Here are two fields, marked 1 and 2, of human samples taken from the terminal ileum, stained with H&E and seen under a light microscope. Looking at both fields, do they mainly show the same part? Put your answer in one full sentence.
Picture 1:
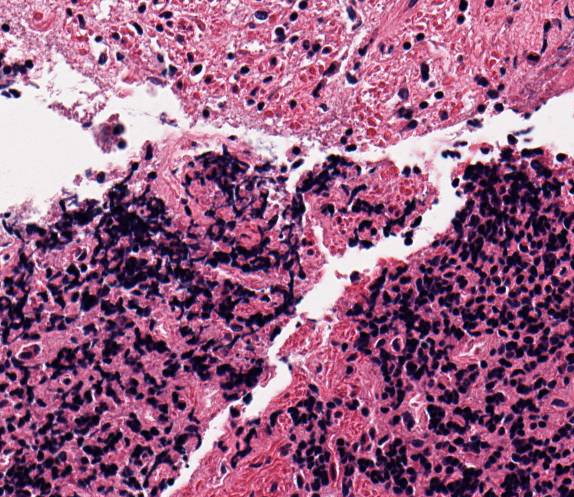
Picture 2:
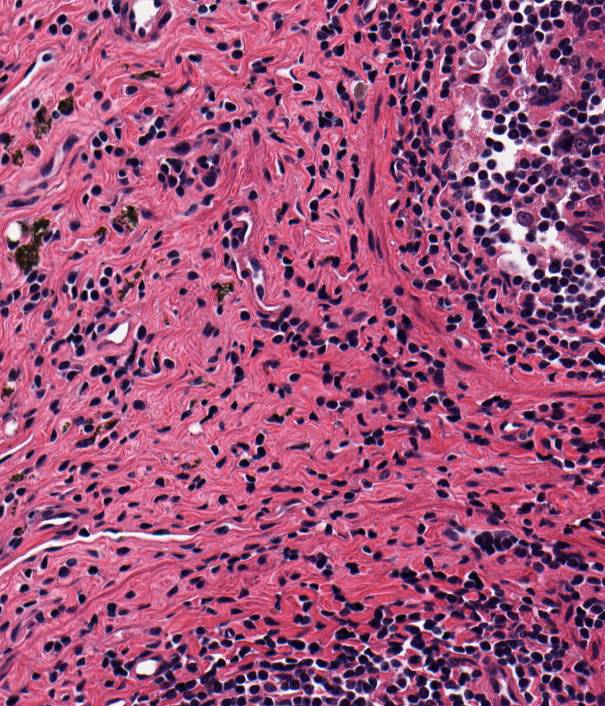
No, they differ: picture 1 mainly shows lymphoid tissue, and picture 2 mainly shows dense connective tissue.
